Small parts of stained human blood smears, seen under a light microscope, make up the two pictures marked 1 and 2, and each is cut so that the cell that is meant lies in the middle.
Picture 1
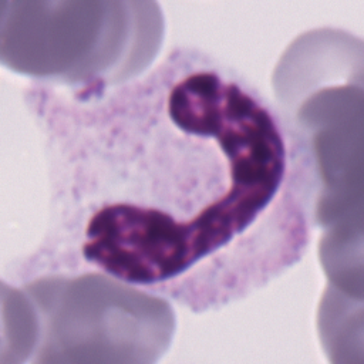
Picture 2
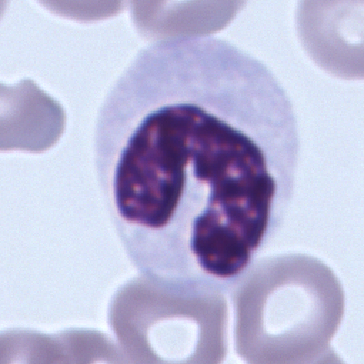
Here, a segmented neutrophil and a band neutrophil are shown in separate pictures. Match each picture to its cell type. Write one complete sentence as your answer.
In picture 1 the cell is a segmented neutrophil; in picture 2, a band neutrophil.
